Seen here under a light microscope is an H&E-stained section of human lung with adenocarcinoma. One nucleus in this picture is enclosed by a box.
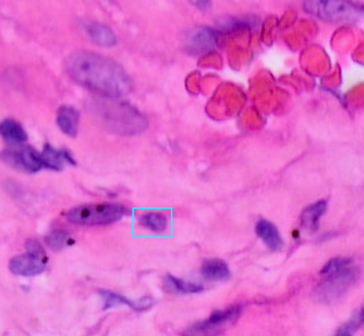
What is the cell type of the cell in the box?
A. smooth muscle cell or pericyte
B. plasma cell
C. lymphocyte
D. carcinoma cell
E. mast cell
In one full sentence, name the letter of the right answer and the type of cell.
With the cell in the box being a mast cell, option E is correct.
